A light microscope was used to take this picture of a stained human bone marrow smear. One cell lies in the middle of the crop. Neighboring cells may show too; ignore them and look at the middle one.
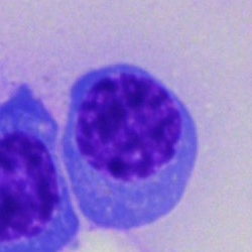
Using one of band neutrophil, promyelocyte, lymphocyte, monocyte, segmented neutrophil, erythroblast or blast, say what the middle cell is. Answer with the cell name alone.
erythroblast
